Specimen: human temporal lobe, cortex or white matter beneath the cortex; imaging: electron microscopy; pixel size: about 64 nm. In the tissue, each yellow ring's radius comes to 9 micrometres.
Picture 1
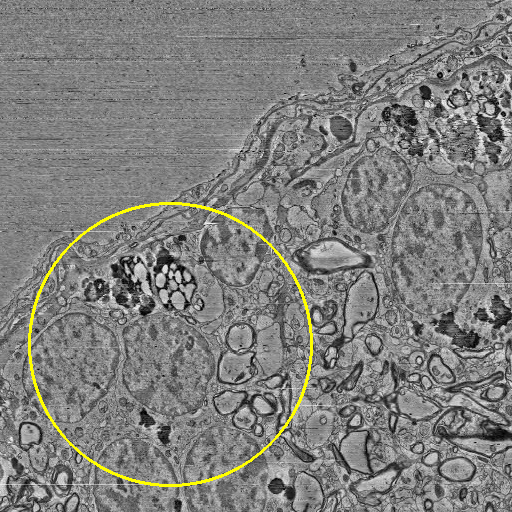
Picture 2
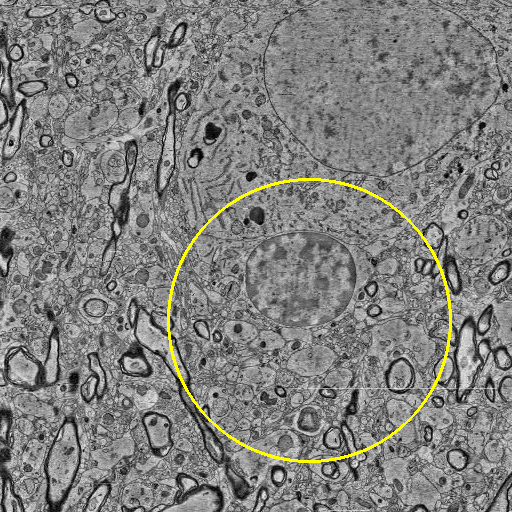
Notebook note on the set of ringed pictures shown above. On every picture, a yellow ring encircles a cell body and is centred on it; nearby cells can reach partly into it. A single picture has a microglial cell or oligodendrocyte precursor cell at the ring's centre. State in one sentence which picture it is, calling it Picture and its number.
Picture 2 is the one whose ring is centred on the sought cell.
